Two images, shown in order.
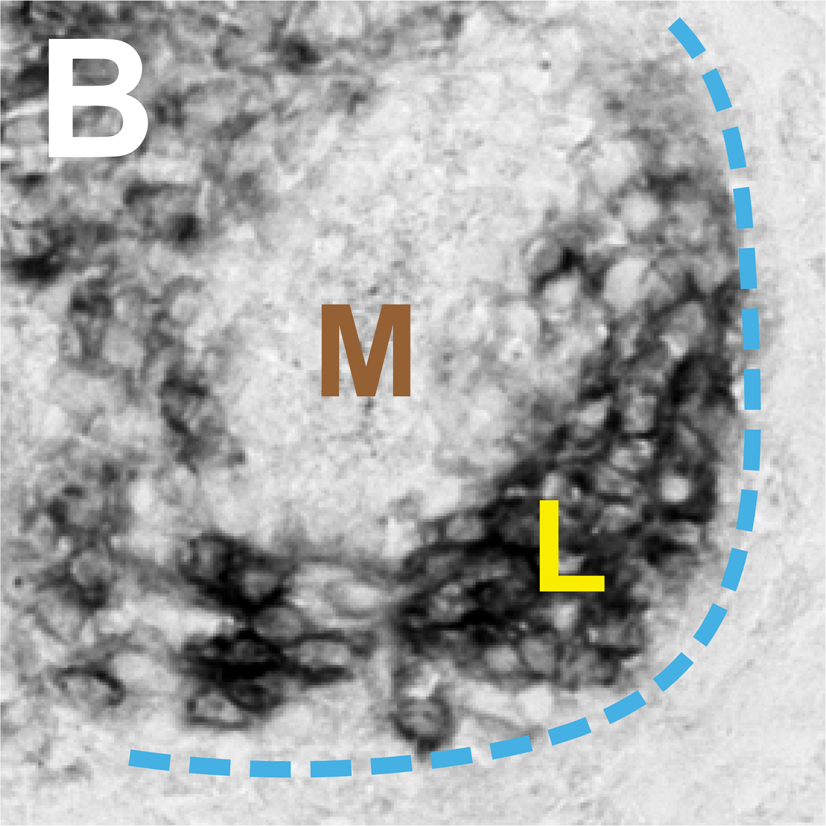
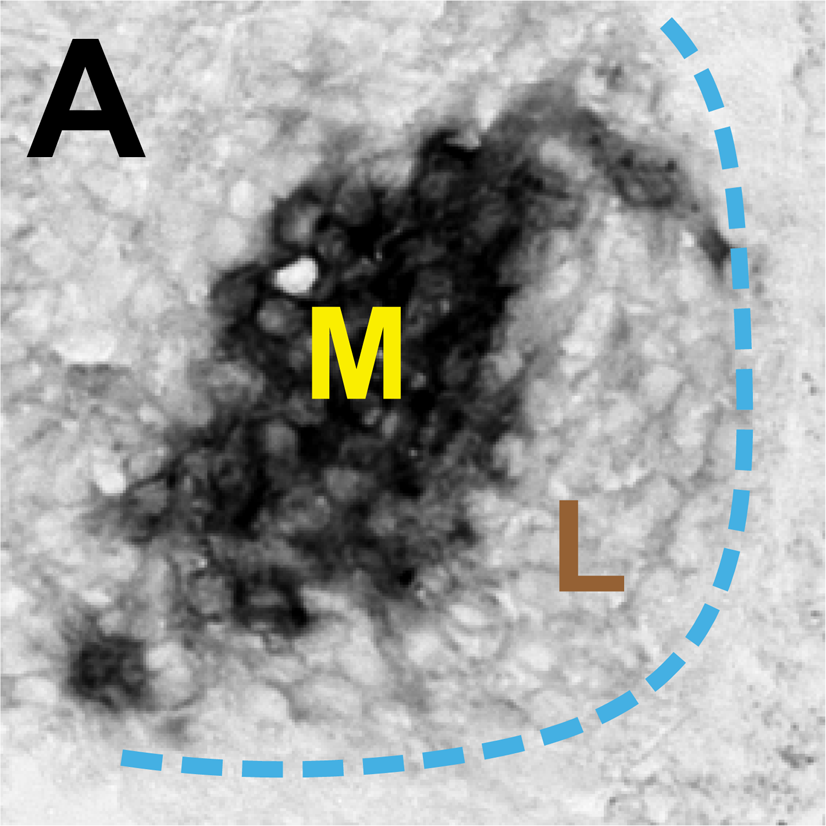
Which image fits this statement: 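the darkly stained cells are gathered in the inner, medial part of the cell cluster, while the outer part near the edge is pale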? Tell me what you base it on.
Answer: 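First image: the dark cells form an arc along the outer and lower edge next to the dashed line, with a pale centre. Second image: a dense dark mass of cells lies in the inner part of the cluster, away from the dashed line. Second image: the cells near the dashed outer edge are only faintly stained. That points to this answer: the second image.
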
